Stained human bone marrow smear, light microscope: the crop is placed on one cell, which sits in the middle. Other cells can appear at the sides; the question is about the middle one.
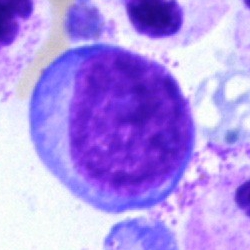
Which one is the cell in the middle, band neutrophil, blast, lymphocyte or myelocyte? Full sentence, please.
The cell centred in this crop is categorized as a blast.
